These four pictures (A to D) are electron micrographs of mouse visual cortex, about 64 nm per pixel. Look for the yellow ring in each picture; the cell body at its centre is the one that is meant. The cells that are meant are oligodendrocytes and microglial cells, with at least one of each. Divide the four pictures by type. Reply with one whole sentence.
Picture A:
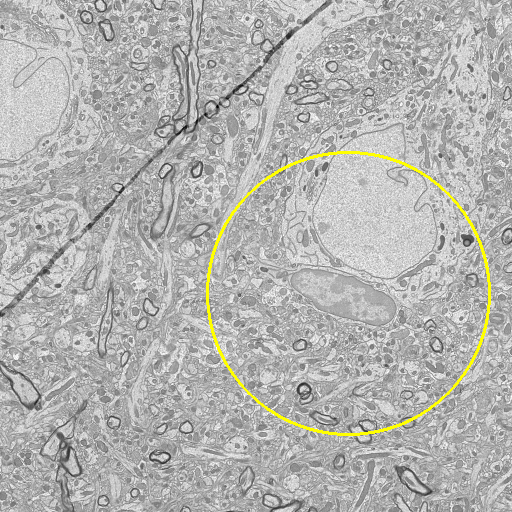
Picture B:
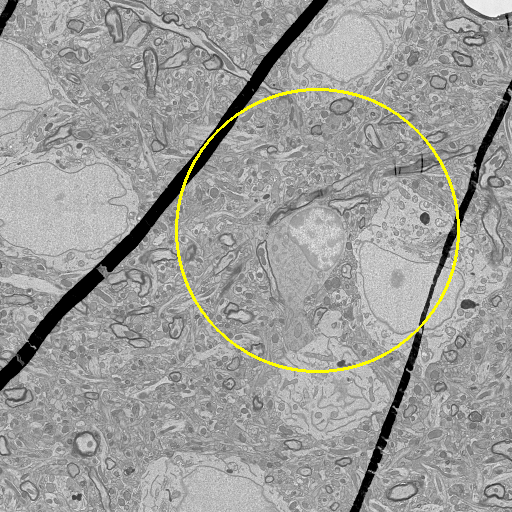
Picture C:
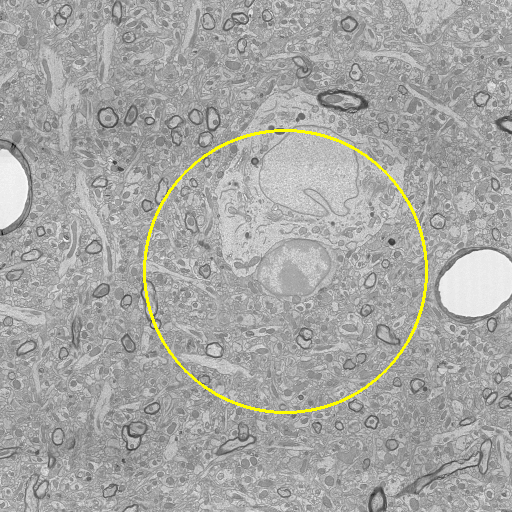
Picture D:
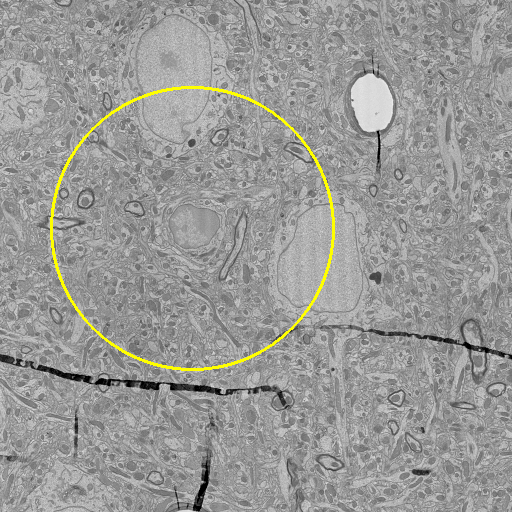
Pictures B and C show oligodendrocytes, and pictures A and D show microglial cells.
